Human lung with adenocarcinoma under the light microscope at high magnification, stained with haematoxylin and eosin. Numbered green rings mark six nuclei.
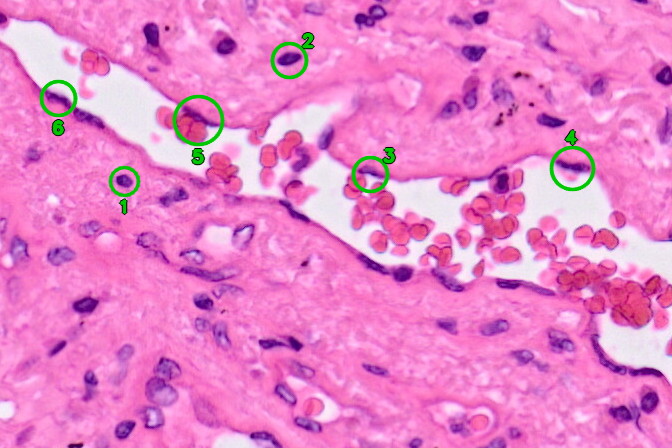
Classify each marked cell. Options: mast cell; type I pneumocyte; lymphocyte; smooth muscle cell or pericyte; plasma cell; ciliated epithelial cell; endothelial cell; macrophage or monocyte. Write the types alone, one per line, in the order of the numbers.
lymphocyte
lymphocyte
endothelial cell
endothelial cell
endothelial cell
endothelial cell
